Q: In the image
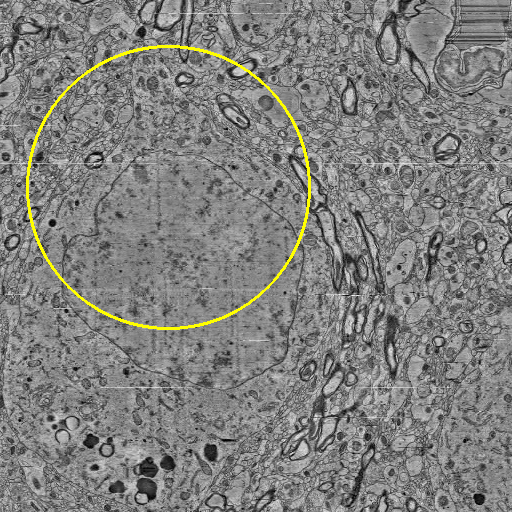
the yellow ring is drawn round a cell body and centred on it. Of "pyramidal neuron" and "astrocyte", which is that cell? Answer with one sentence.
The cell centred in the ring is a pyramidal neuron.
